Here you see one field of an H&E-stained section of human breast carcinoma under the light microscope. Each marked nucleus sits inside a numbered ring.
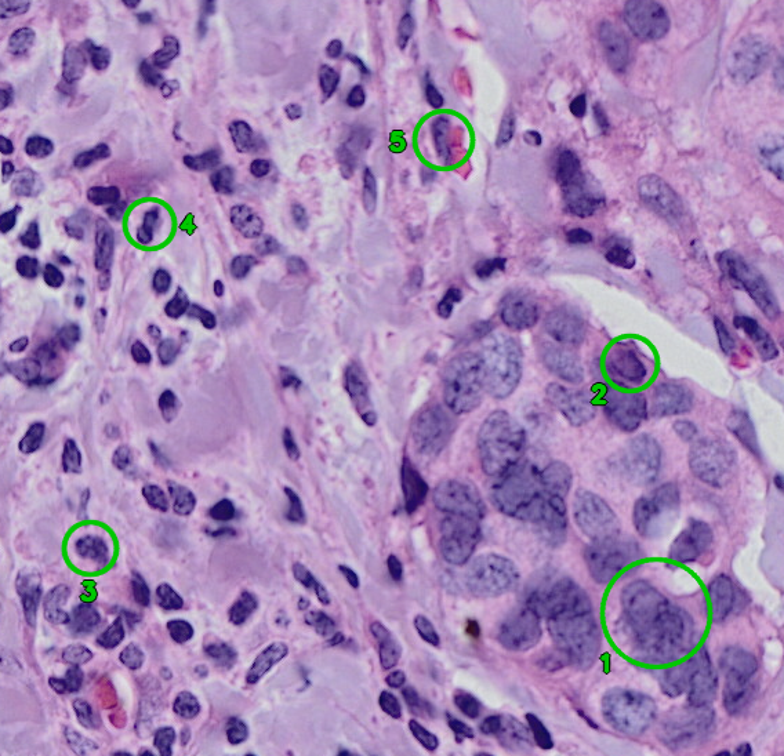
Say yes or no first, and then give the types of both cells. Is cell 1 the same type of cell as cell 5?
No, cell 1 is a carcinoma cell and cell 5 is an endothelial cell.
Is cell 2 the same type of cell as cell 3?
No, cell 2 is a carcinoma cell and cell 3 is a lymphocyte.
